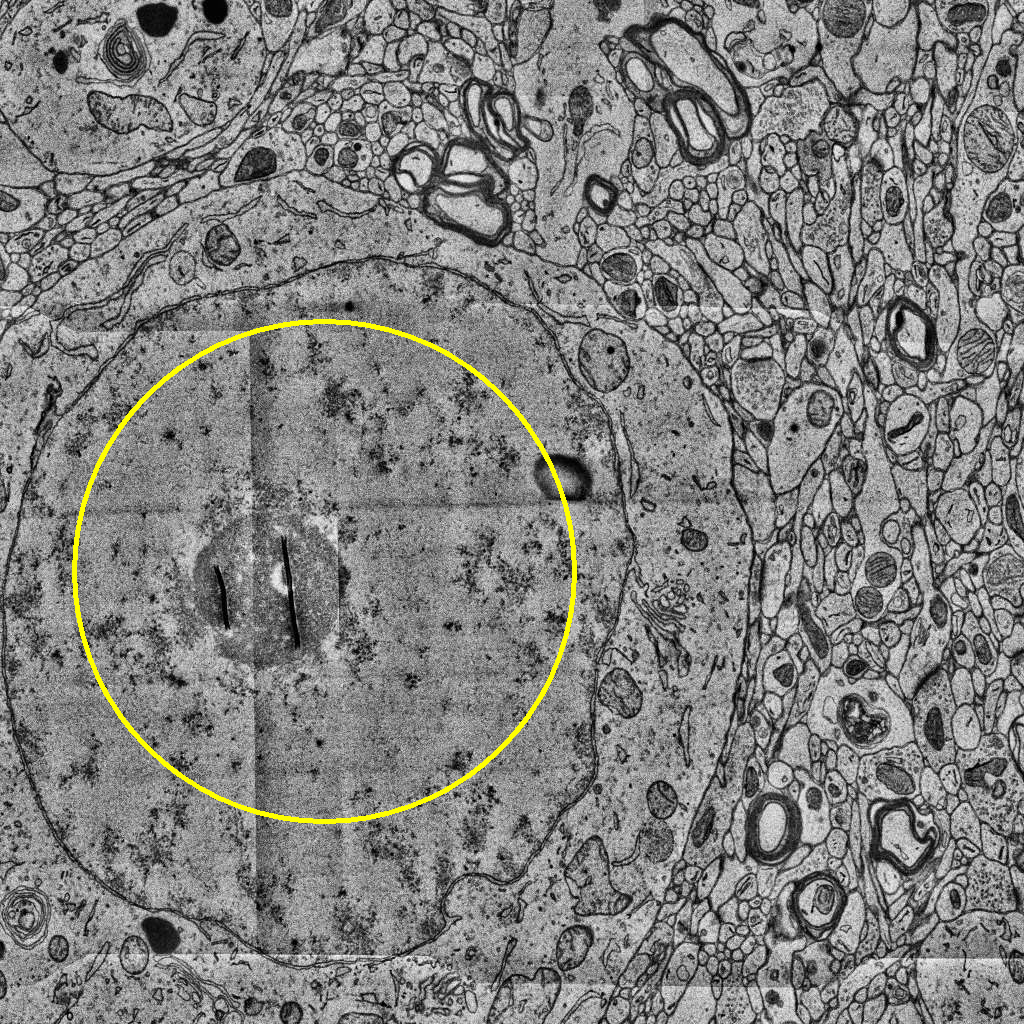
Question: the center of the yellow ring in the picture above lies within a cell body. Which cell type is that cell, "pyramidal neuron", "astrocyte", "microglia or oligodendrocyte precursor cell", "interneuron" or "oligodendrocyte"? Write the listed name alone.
pyramidal neuron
